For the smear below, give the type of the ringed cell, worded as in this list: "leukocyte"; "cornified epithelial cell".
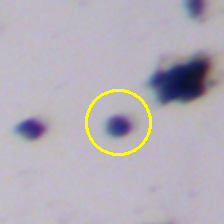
leukocyte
